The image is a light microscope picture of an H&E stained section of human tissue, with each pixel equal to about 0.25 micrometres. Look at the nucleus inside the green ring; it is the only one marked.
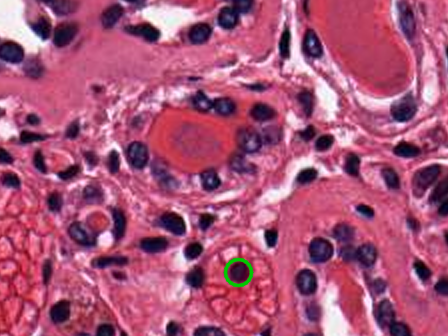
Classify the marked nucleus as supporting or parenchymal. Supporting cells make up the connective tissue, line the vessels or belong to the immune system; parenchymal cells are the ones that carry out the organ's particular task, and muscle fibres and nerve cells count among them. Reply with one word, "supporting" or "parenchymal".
supporting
